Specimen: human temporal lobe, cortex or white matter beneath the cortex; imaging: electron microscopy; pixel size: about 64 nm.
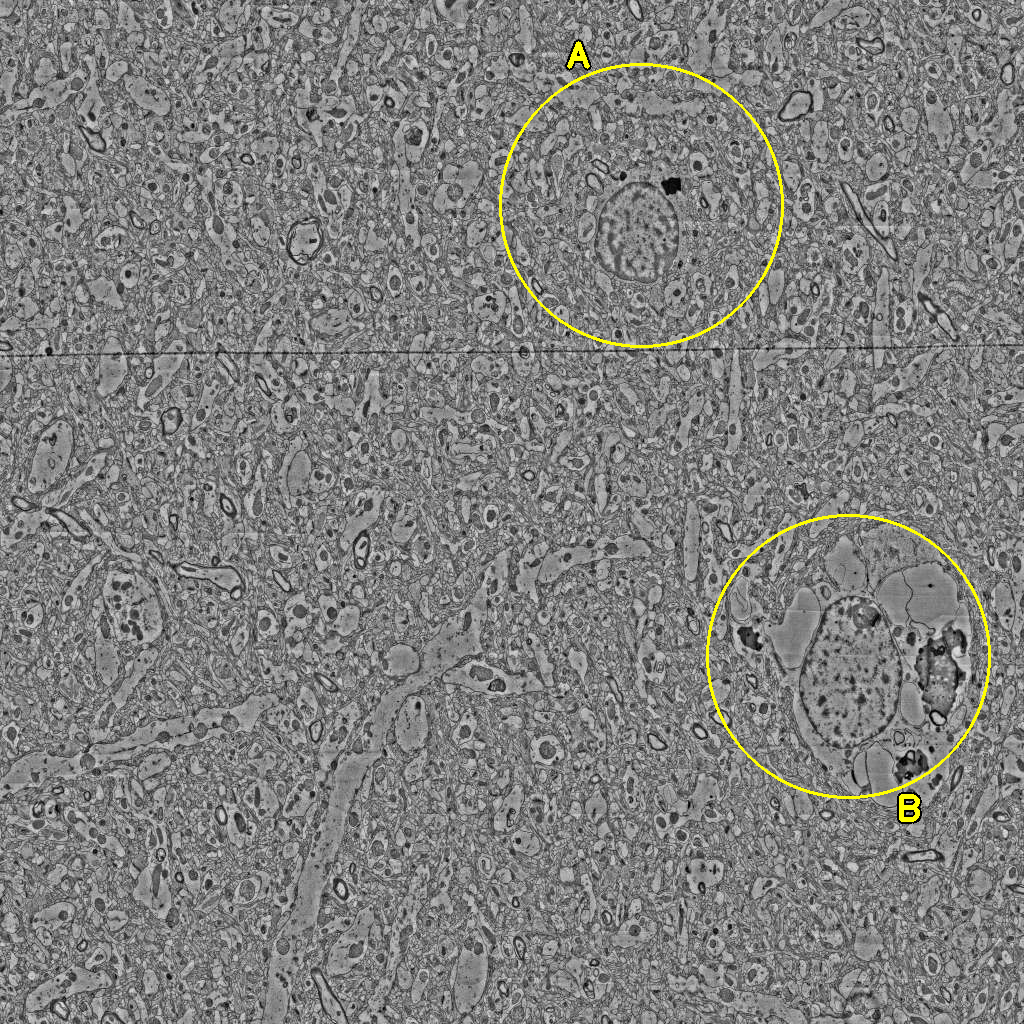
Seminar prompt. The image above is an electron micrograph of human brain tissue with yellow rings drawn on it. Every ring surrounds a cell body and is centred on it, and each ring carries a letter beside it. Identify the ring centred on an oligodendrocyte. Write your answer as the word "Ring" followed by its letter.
Ring A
